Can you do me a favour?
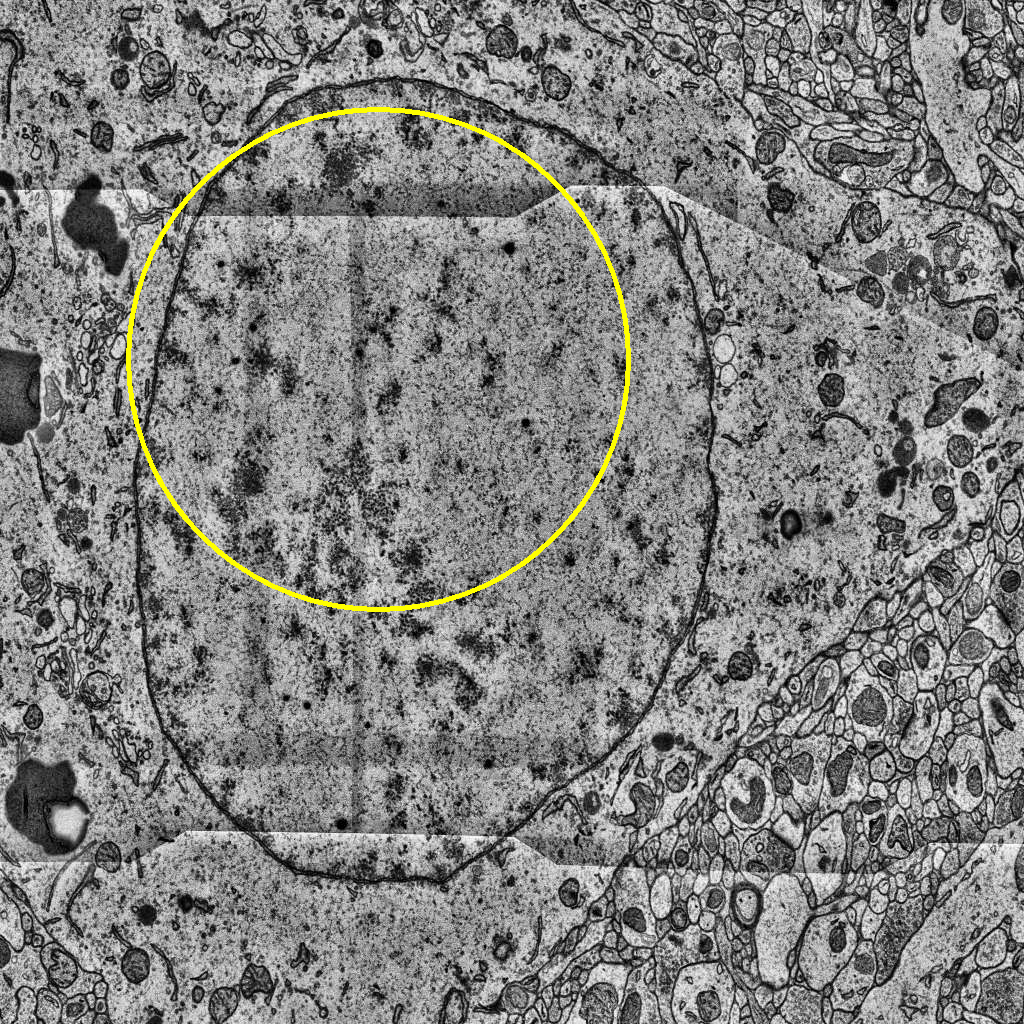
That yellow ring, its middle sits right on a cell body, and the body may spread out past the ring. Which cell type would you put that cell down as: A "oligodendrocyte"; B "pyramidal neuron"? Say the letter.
B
